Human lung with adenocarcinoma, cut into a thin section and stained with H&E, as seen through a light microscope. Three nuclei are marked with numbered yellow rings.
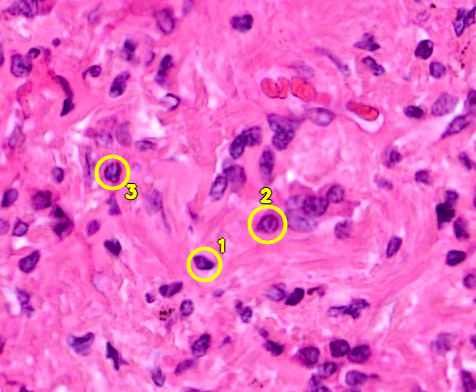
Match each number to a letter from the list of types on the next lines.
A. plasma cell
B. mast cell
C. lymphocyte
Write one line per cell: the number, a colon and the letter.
1: C
2: A
3: B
